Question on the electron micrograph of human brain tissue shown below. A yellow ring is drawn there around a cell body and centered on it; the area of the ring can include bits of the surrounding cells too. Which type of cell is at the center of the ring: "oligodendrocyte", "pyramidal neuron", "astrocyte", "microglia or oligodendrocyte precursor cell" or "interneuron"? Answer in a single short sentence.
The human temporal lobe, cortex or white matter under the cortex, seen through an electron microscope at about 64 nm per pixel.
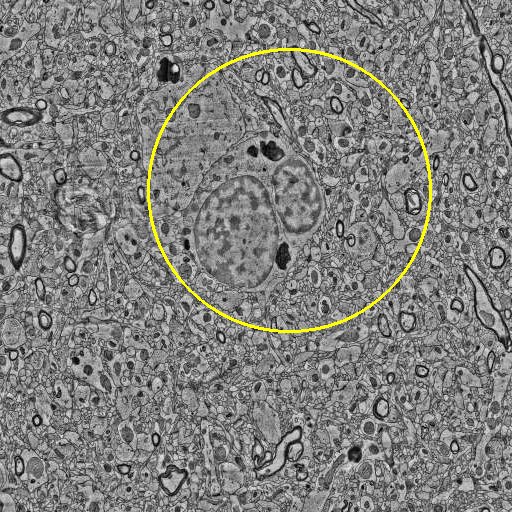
The ring is centered on an oligodendrocyte.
